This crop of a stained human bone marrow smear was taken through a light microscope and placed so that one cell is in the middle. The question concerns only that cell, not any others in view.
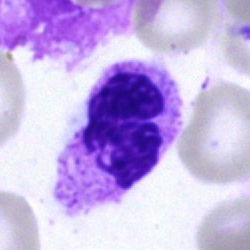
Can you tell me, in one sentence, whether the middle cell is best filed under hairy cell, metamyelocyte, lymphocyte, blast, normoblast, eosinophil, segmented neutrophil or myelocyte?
Classified as a segmented neutrophil is the cell in the middle of this crop.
